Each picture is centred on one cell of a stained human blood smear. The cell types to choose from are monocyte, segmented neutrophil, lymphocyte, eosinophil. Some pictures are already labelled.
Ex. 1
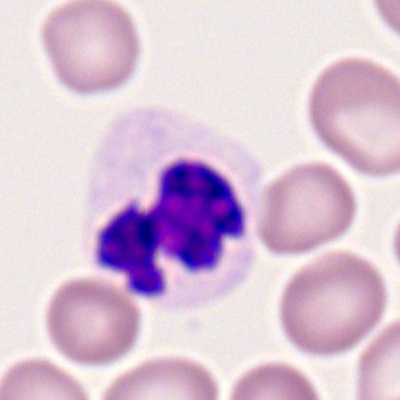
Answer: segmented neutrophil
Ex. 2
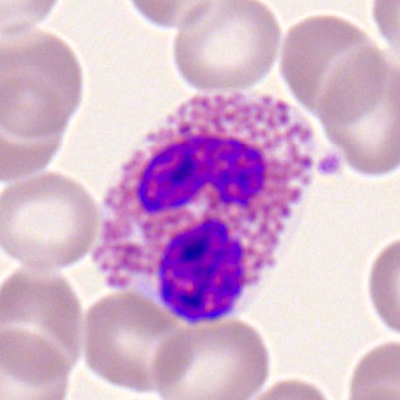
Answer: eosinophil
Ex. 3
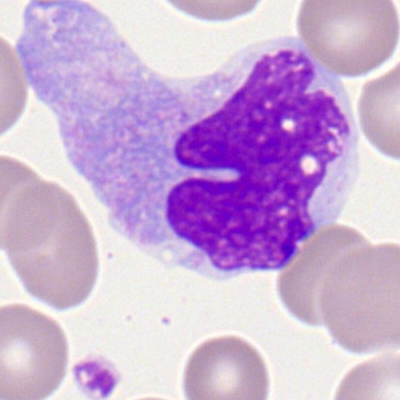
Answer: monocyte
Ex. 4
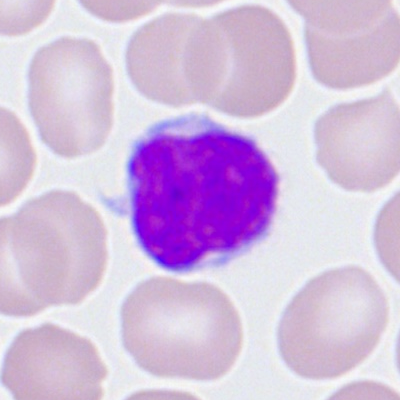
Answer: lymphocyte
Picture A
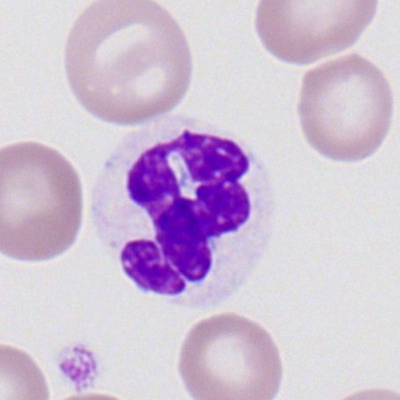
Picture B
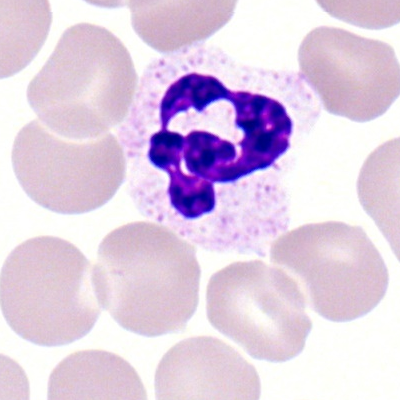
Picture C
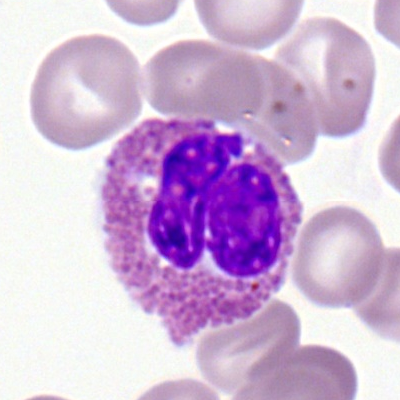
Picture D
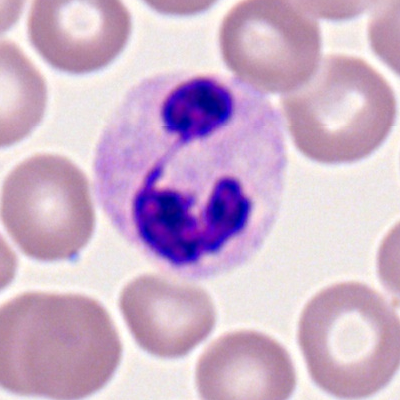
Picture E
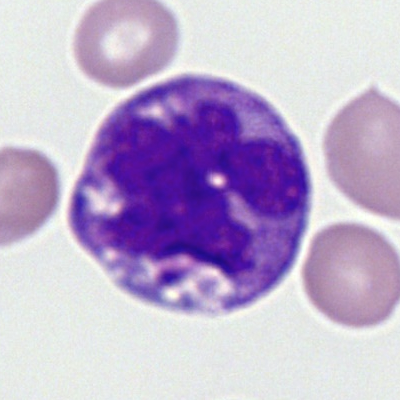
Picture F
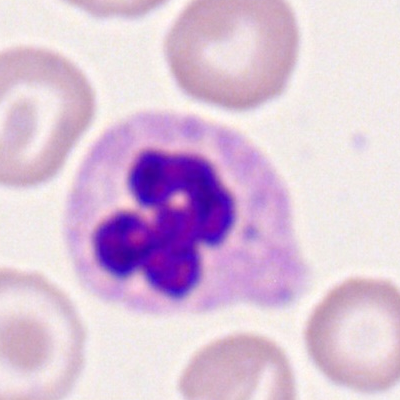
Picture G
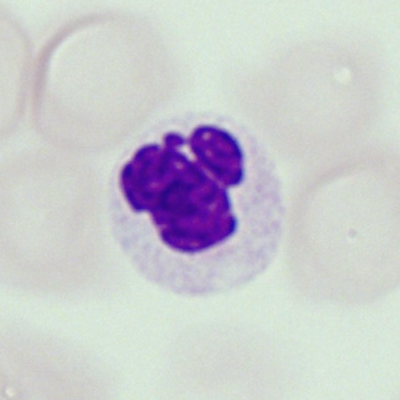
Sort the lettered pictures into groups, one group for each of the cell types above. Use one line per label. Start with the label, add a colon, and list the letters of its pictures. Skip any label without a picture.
monocyte: E
segmented neutrophil: A, B, D, F, G
eosinophil: C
